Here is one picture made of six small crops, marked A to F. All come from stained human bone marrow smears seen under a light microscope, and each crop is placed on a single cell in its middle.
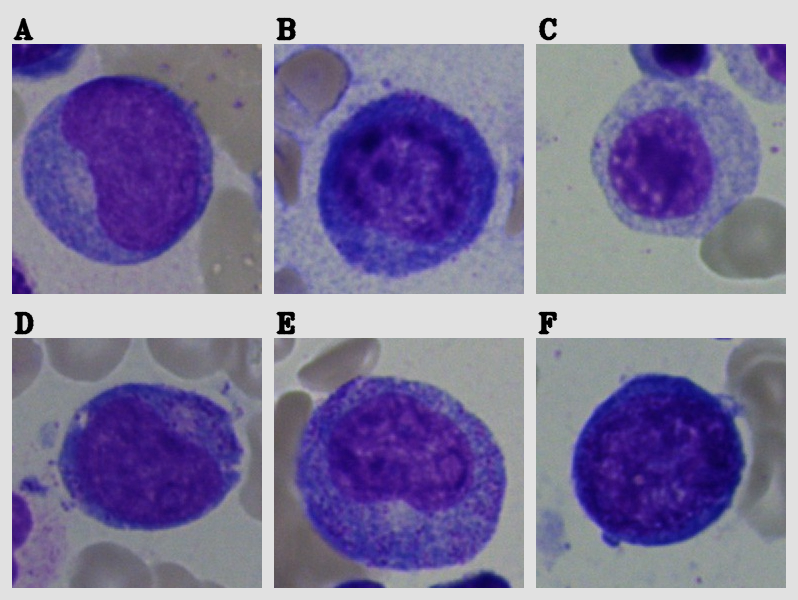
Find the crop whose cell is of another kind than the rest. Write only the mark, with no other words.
C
